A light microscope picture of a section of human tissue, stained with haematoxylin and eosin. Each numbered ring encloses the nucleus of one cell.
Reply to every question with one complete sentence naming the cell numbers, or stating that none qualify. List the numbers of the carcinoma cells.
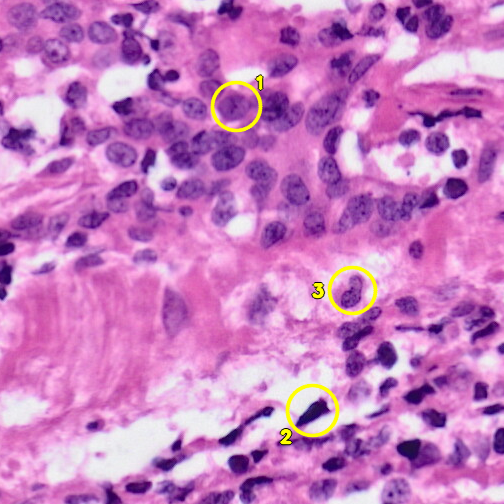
Cells that were given the numbers 1 and 2 are carcinoma cells.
